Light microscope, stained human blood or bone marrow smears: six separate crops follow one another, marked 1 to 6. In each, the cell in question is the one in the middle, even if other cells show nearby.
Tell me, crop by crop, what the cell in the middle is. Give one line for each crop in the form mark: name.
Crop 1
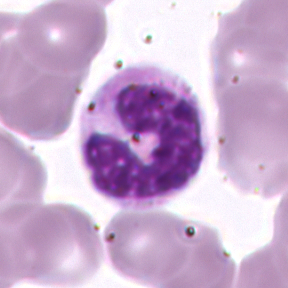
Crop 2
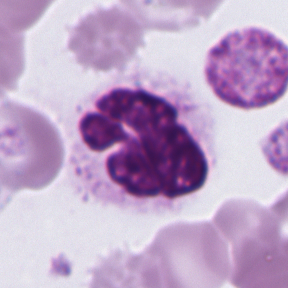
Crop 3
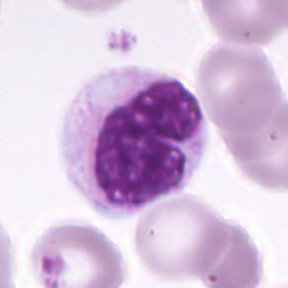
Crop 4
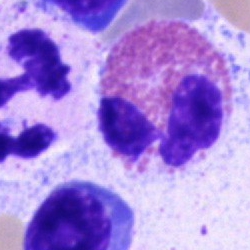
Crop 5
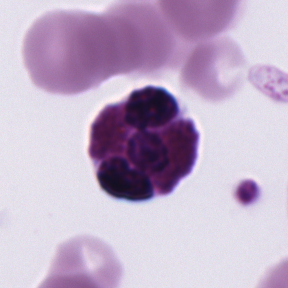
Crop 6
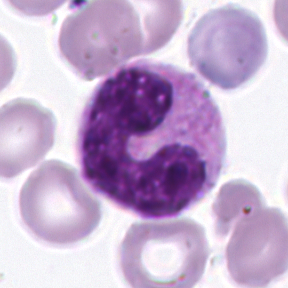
1: band neutrophil
2: segmented neutrophil
3: band neutrophil
4: eosinophil
5: eosinophil
6: band neutrophil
